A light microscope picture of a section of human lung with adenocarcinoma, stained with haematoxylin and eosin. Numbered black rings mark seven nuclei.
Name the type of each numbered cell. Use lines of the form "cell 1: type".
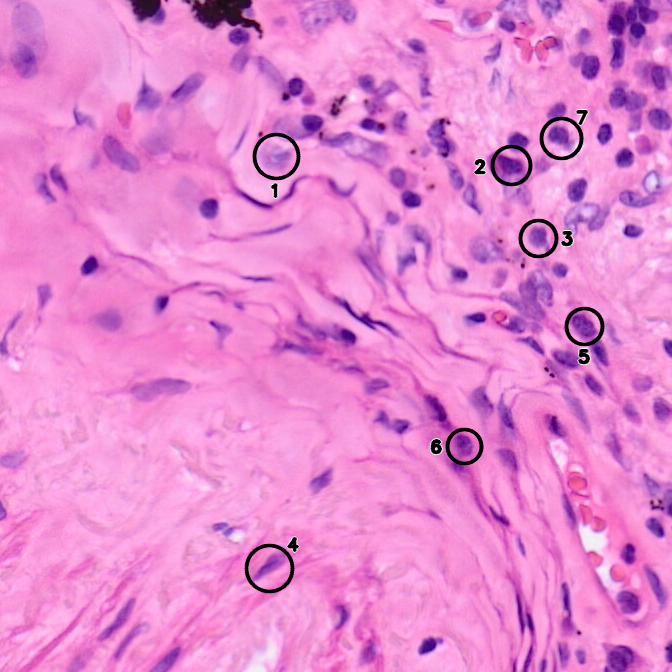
cell 1: fibroblast
cell 2: plasma cell
cell 3: lymphocyte
cell 4: smooth muscle cell or pericyte
cell 5: plasma cell
cell 6: mast cell
cell 7: lymphocyte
